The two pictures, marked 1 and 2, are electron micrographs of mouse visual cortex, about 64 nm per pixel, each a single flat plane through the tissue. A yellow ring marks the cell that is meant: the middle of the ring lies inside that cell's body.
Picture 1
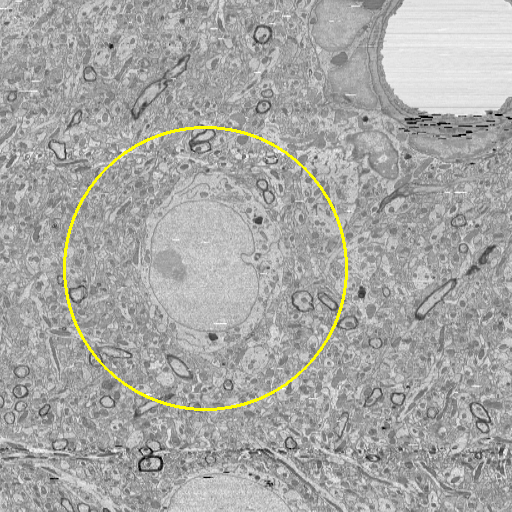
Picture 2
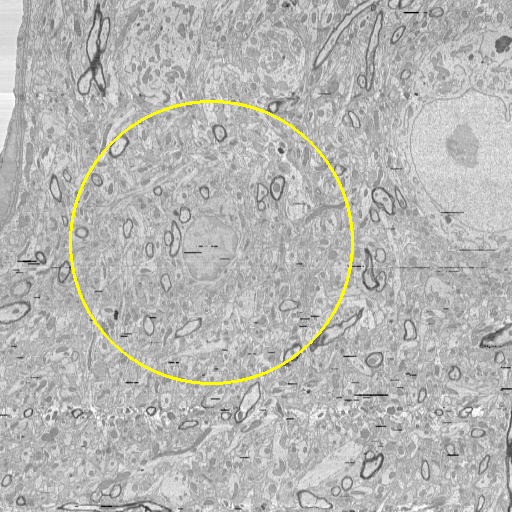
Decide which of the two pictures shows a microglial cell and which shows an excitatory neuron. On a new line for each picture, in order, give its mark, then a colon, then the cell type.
1: excitatory neuron
2: microglial cell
